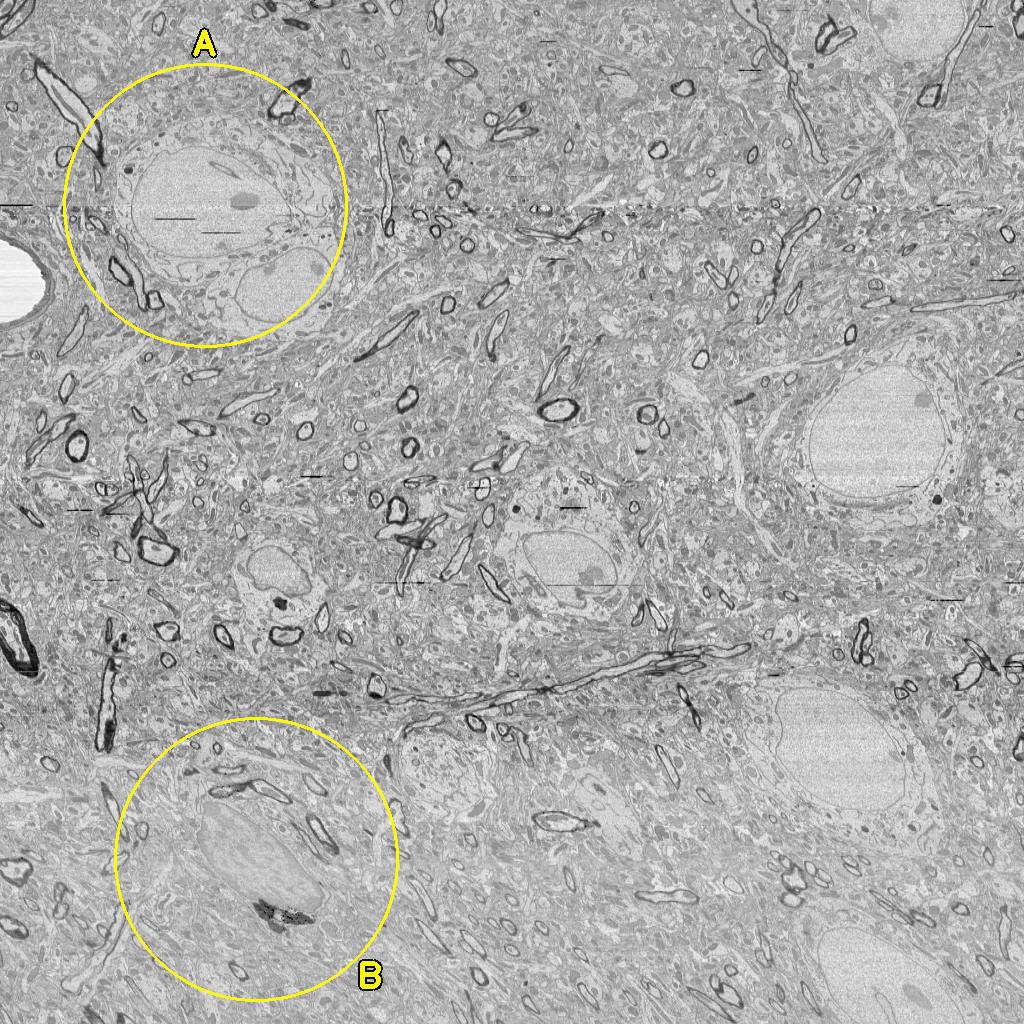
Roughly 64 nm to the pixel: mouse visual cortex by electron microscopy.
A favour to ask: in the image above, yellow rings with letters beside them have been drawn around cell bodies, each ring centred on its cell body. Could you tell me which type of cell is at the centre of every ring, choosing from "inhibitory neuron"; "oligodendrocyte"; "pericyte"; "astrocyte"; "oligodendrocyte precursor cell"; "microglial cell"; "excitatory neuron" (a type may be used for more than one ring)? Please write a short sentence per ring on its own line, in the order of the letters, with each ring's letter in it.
Ring A holds an excitatory neuron at its centre.
Ring B holds a microglial cell at its centre.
